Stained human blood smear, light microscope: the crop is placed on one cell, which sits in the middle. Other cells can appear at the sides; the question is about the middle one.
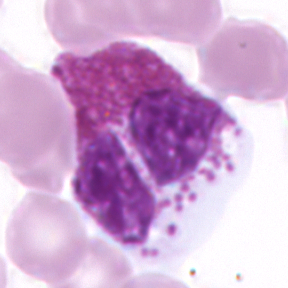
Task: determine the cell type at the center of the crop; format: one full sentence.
Within this crop, an eosinophil occupies the central position.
